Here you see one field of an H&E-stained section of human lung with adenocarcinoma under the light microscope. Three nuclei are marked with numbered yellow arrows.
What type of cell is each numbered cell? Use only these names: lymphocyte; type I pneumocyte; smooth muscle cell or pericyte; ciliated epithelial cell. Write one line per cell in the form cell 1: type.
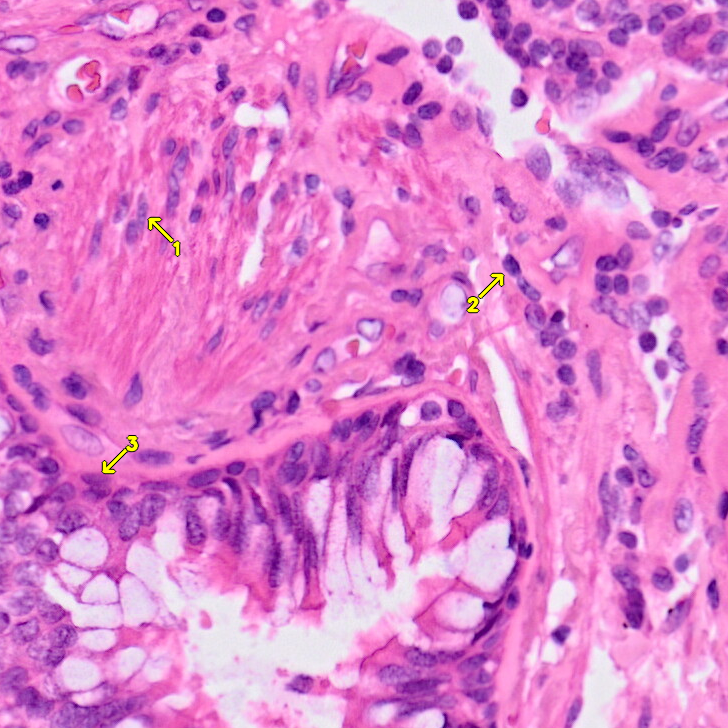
cell 1: smooth muscle cell or pericyte
cell 2: lymphocyte
cell 3: ciliated epithelial cell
